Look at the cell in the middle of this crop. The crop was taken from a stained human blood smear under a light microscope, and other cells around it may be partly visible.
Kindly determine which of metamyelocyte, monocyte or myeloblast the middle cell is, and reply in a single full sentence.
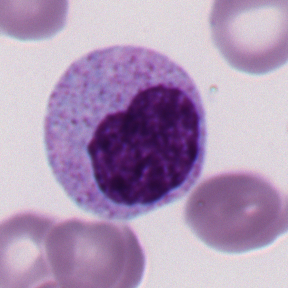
In the central position of this crop, the cell is a metamyelocyte.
